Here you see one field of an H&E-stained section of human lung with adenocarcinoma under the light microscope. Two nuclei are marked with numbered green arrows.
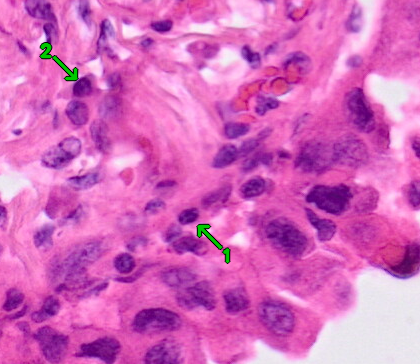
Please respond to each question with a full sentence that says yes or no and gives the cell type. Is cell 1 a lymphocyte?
Yes, cell number 1 is classified as a lymphocyte.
